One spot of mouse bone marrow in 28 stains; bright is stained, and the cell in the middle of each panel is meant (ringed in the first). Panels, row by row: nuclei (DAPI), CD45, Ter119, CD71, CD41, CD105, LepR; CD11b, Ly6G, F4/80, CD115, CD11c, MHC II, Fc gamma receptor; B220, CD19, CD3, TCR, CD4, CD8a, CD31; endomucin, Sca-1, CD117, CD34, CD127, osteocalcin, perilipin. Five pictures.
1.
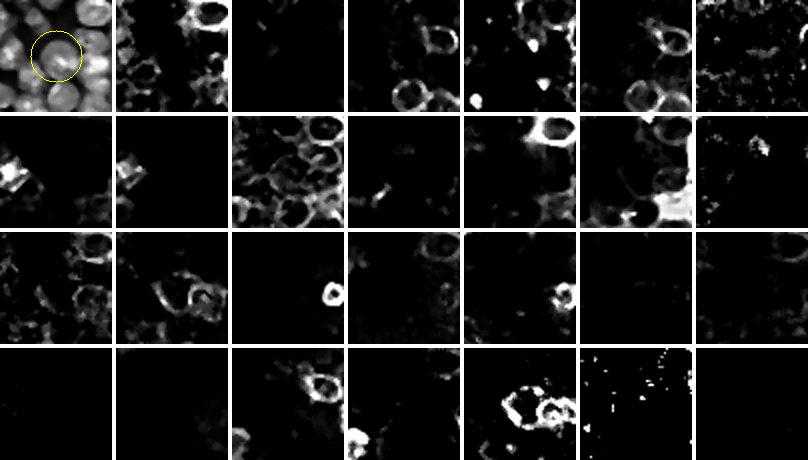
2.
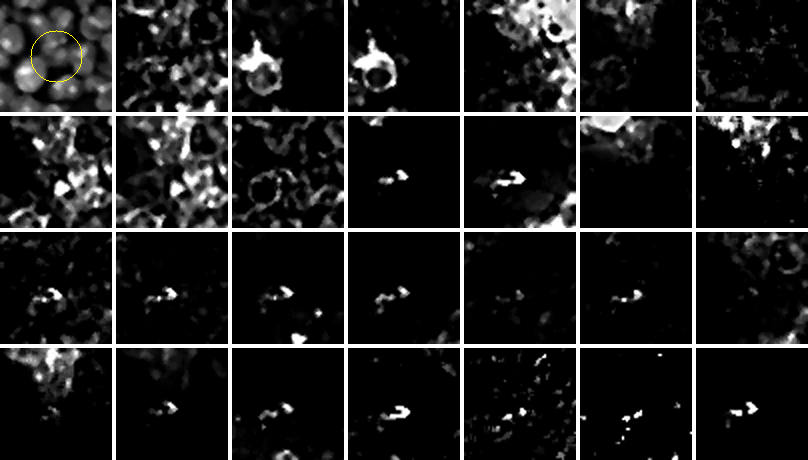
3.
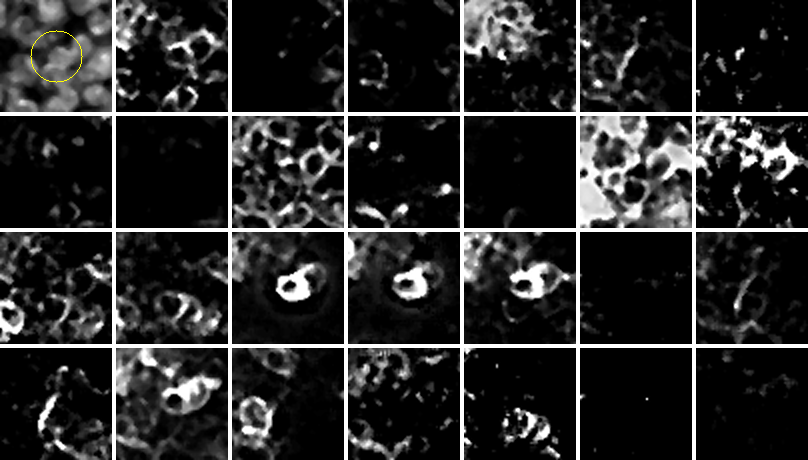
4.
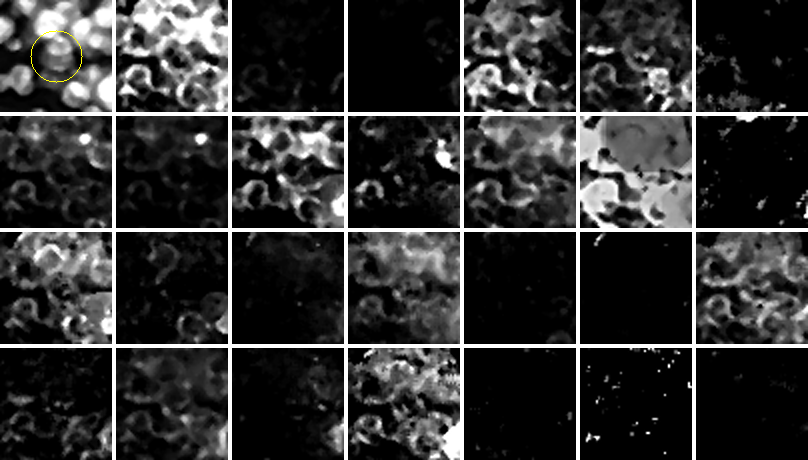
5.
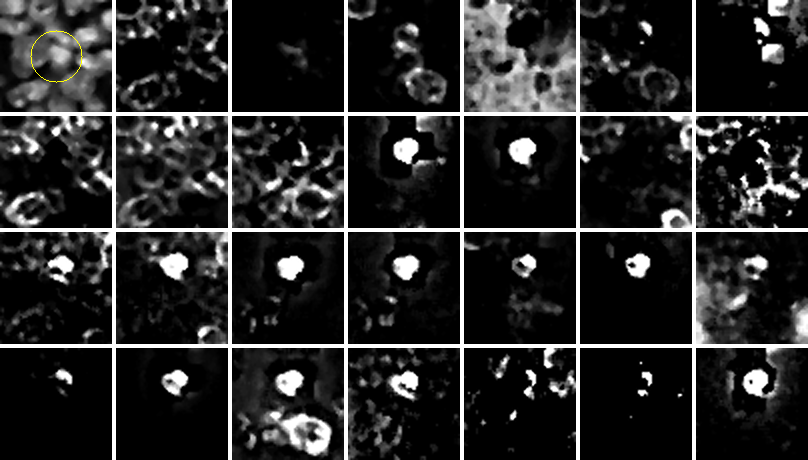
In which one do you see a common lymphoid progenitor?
In picture 1.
